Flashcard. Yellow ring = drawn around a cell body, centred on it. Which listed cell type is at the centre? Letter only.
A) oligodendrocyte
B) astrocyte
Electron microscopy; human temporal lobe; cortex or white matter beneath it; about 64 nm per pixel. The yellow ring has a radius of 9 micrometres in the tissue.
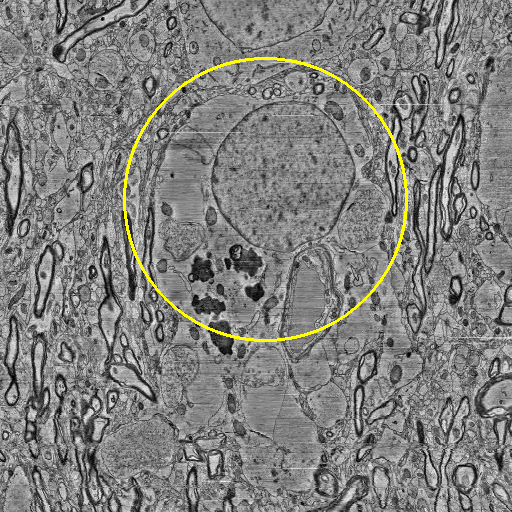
B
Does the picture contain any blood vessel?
Yes, there is one.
